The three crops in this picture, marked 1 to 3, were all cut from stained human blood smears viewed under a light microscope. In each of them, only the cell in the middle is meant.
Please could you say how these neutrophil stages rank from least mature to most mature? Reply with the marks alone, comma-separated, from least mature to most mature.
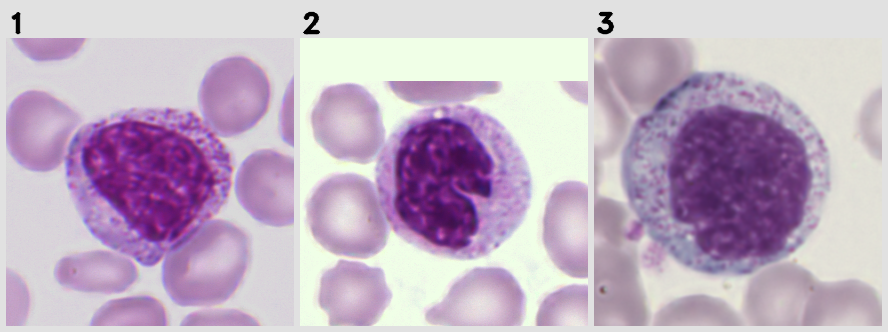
3, 1, 2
